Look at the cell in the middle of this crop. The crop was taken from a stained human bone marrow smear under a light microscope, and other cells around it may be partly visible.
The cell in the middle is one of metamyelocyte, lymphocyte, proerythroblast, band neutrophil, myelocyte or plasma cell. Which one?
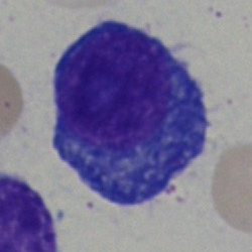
plasma cell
